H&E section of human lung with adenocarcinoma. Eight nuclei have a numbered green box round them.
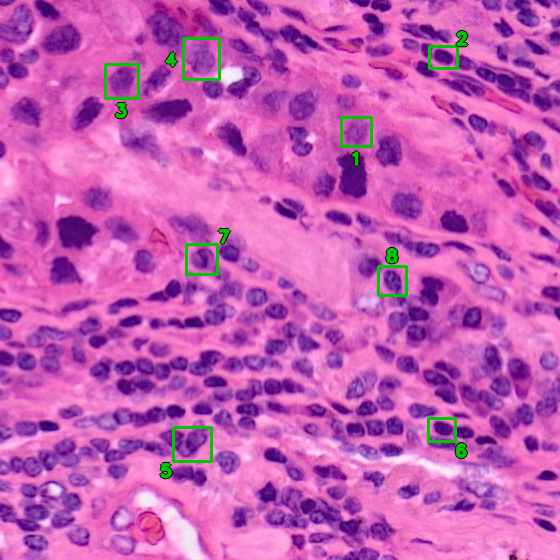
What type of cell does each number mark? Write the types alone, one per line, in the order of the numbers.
carcinoma cell
lymphocyte
carcinoma cell
carcinoma cell
lymphocyte
lymphocyte
lymphocyte
lymphocyte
